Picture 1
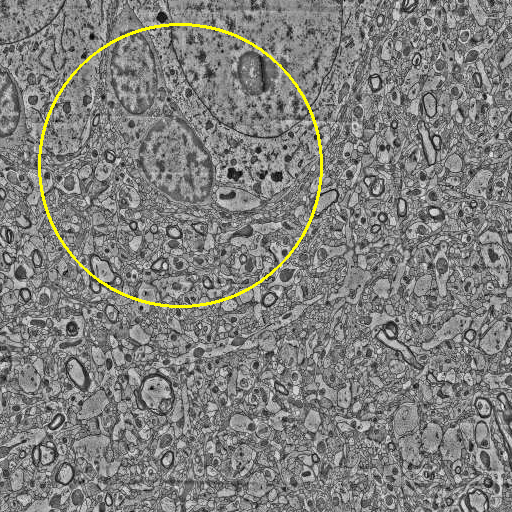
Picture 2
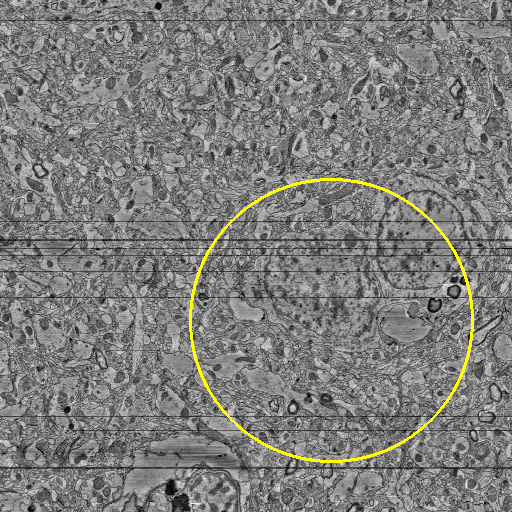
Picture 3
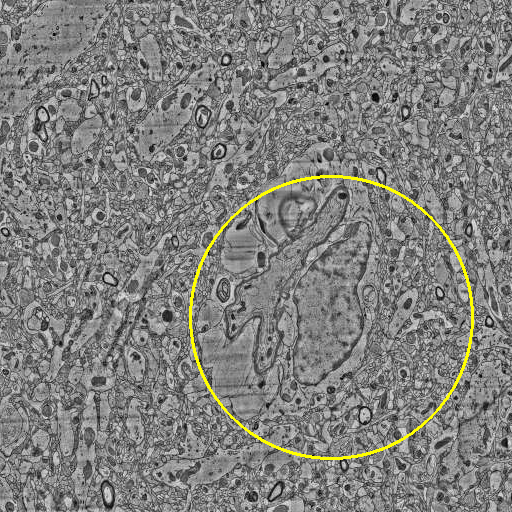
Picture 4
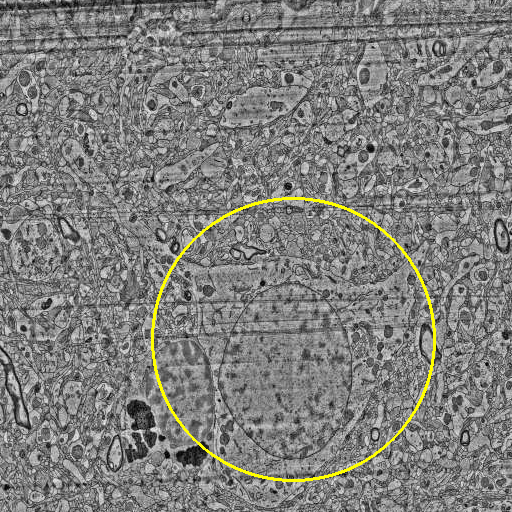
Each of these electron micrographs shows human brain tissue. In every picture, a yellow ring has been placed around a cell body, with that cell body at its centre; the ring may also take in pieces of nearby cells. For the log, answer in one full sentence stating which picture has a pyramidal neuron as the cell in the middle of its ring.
In picture 4, the cell at the centre of the yellow ring is the requested one.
